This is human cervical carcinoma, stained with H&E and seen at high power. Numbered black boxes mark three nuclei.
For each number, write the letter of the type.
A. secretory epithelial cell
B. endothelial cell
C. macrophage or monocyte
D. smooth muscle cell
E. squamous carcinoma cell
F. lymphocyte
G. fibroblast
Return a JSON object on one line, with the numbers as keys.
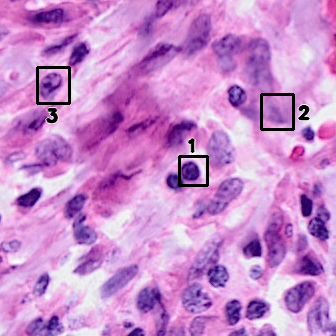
{"1": "F", "2": "B", "3": "C"}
